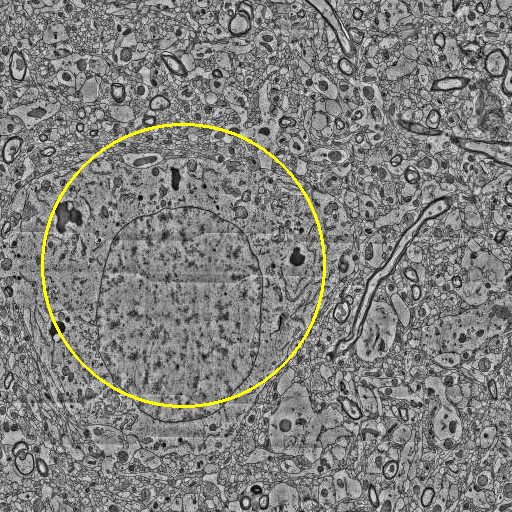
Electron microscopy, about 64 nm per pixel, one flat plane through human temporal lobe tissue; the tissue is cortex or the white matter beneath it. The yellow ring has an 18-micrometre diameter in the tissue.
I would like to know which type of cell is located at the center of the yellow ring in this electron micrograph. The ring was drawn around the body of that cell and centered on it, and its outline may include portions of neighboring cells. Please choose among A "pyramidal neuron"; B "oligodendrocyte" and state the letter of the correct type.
A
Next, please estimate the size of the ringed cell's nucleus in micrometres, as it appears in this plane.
Roughly 14 by 11 micrometres is the size of the nucleus in this plane.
